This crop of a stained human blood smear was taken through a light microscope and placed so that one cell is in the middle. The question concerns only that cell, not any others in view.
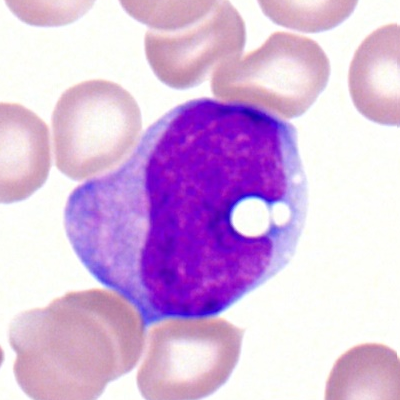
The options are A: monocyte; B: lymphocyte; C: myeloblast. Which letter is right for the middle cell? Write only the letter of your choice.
C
